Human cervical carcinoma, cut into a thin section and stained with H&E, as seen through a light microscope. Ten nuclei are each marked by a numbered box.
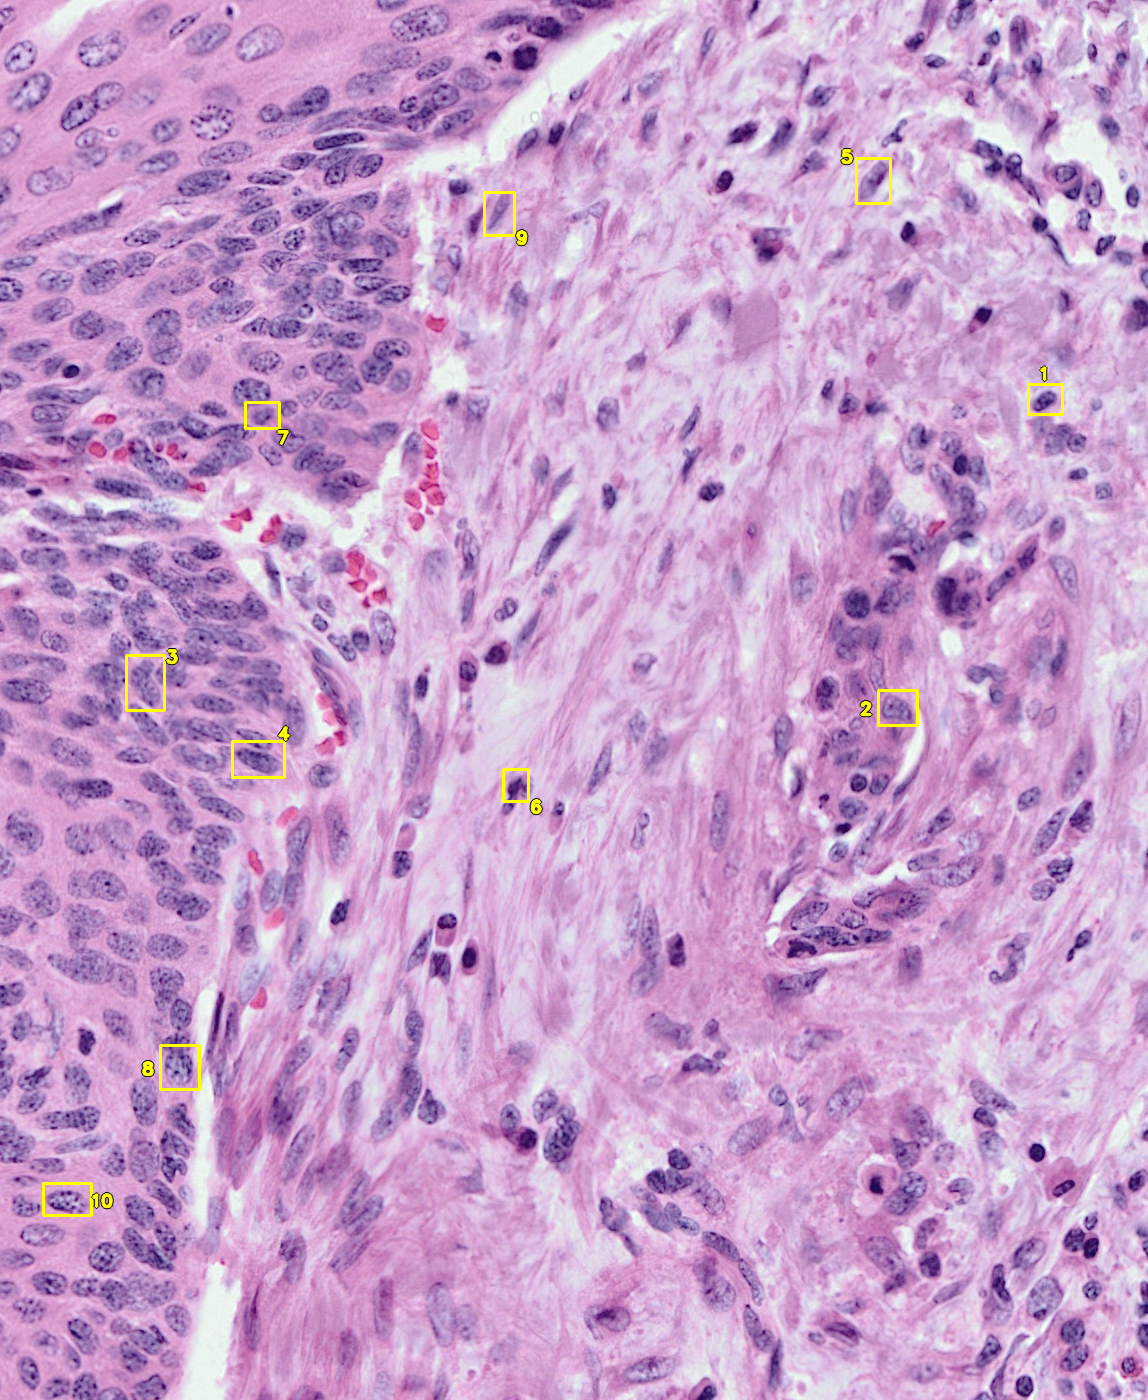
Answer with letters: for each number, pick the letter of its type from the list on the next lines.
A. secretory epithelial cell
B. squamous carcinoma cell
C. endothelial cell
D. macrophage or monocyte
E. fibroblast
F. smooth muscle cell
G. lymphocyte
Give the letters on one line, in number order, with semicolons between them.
G; B; B; B; E; G; B; B; E; B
